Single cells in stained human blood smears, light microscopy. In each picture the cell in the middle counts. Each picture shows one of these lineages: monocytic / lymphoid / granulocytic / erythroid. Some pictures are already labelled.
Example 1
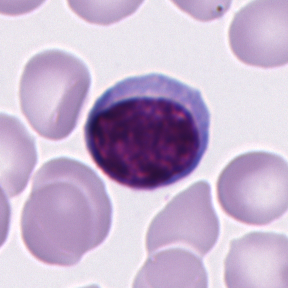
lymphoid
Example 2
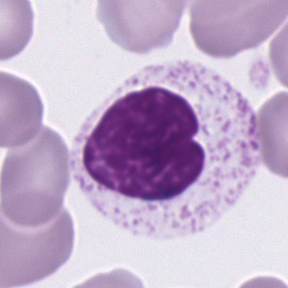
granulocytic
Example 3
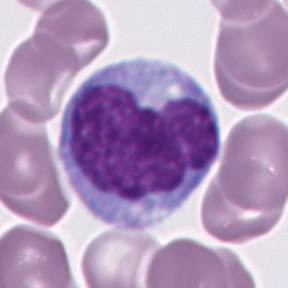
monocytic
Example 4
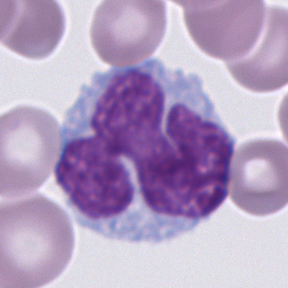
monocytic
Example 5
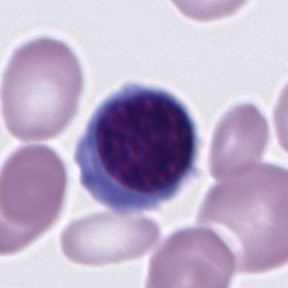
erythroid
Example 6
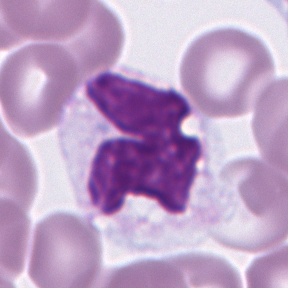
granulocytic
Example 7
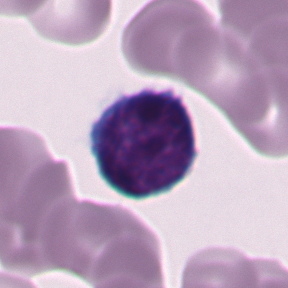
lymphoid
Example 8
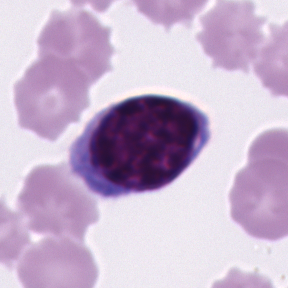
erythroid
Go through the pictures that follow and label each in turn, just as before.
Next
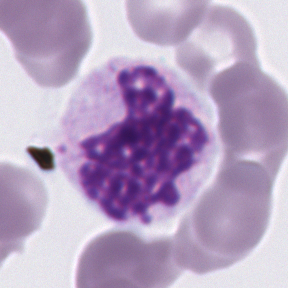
granulocytic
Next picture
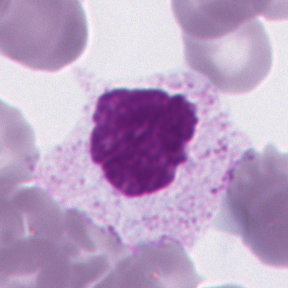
granulocytic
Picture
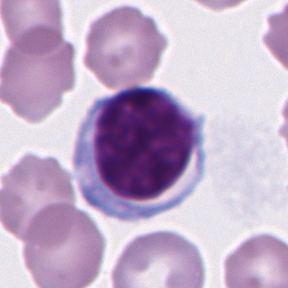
lymphoid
